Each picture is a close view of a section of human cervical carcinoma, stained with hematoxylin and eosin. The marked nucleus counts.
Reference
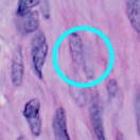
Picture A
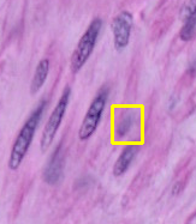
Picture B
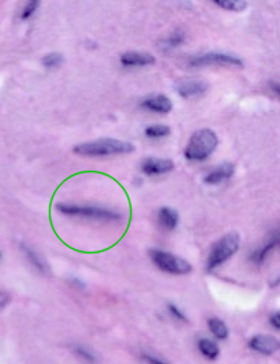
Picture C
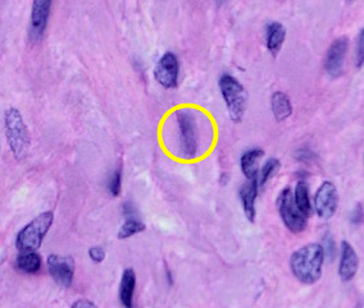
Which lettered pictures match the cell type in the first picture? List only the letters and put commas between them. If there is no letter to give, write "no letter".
A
